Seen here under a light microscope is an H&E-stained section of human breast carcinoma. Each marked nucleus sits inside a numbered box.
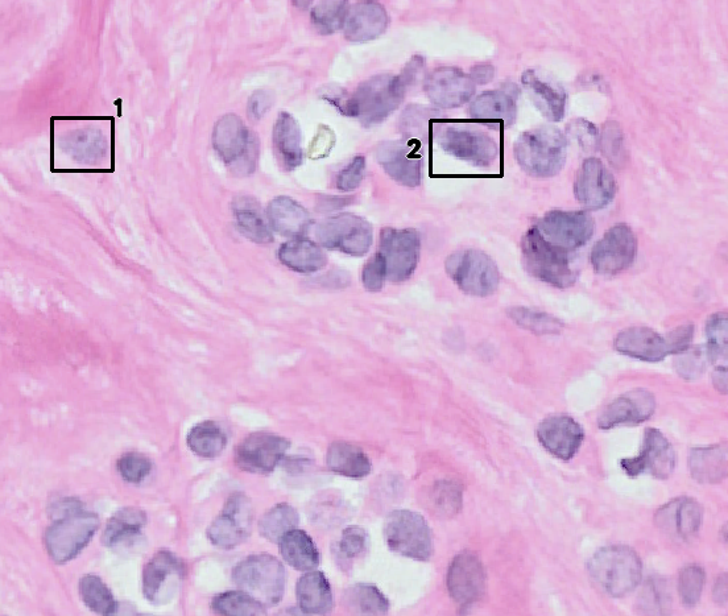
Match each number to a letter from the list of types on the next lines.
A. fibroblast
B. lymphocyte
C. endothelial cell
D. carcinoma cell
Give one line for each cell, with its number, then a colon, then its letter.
1: A
2: D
